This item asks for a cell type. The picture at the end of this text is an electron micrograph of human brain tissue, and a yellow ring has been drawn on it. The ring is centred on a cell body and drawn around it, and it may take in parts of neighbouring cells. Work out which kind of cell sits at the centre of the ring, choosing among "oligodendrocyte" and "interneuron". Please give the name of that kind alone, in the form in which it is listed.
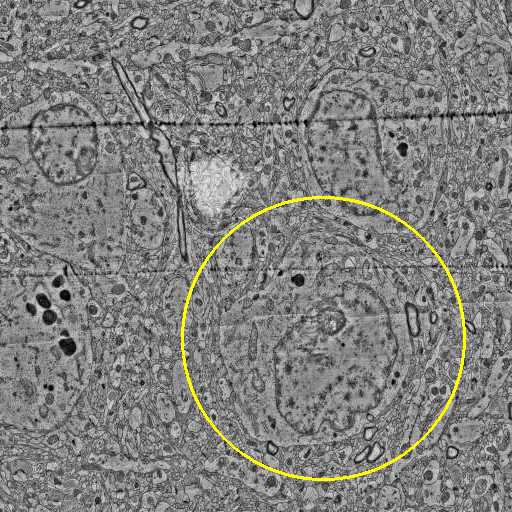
interneuron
